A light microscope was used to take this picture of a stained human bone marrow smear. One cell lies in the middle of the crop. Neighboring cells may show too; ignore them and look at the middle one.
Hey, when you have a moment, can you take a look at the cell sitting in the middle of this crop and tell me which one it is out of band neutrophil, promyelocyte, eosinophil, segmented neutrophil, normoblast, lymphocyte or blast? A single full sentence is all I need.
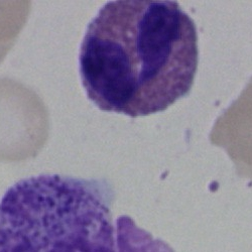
The crop shows an eosinophil in its centre.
